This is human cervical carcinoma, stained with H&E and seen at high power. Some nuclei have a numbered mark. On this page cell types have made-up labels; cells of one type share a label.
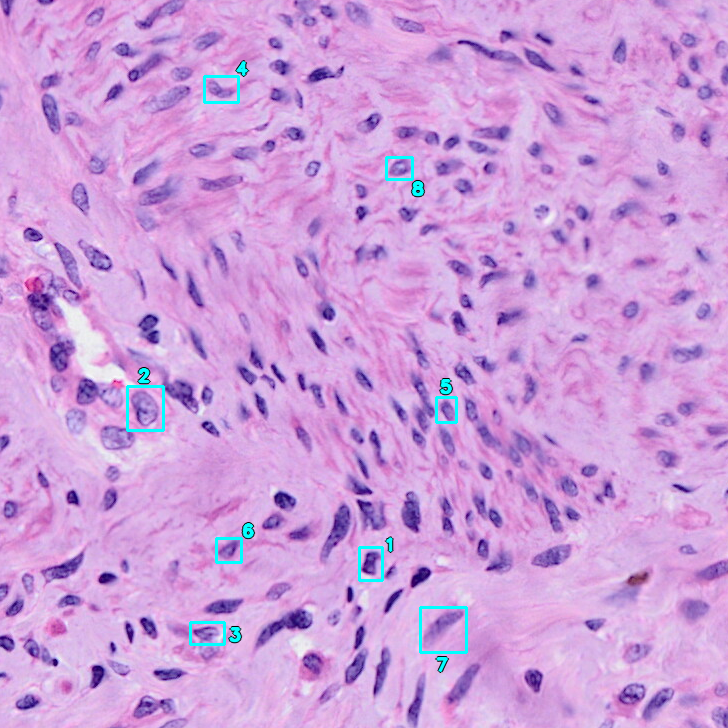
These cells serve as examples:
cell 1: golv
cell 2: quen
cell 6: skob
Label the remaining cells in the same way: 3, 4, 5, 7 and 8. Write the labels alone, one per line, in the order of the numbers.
quen
skob
skob
golv
skob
